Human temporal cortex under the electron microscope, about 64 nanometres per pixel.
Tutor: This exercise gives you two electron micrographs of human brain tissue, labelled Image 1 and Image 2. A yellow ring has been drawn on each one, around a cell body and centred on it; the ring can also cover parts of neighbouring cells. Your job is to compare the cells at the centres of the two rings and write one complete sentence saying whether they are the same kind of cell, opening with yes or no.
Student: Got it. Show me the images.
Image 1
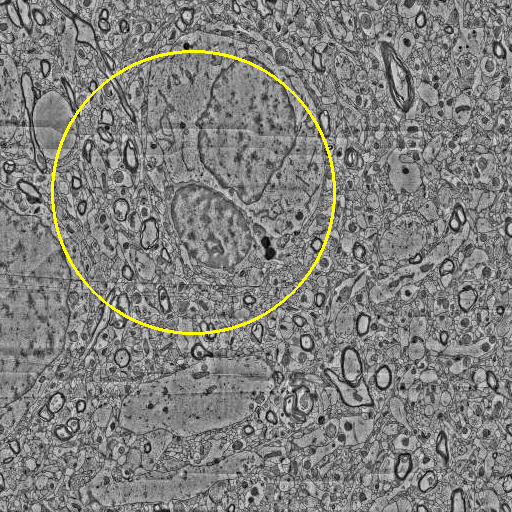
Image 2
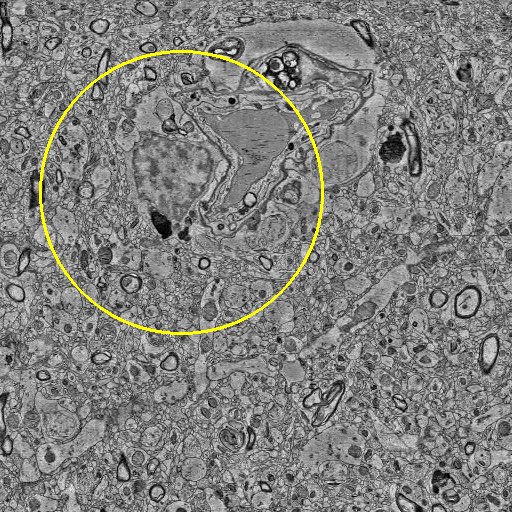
Yes, the two cells belong to the same kind.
